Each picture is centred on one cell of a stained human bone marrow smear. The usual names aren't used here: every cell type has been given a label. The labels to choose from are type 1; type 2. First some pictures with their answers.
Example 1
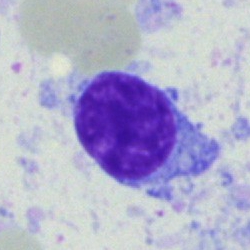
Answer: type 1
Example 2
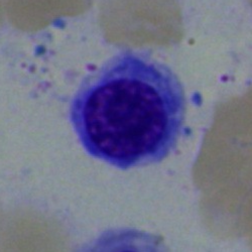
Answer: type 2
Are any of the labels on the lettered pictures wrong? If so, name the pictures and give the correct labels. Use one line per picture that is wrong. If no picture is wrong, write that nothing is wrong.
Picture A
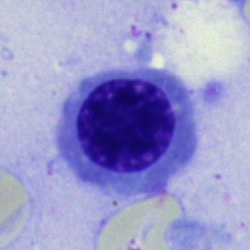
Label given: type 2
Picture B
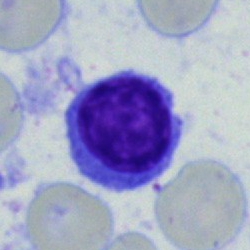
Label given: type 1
All correct.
